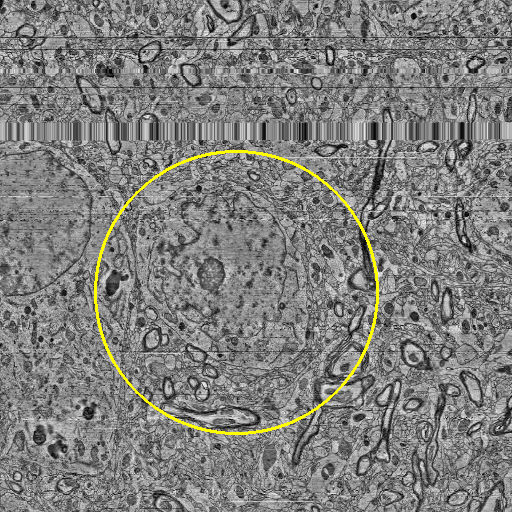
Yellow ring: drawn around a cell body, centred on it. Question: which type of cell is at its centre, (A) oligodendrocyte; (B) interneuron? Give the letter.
B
